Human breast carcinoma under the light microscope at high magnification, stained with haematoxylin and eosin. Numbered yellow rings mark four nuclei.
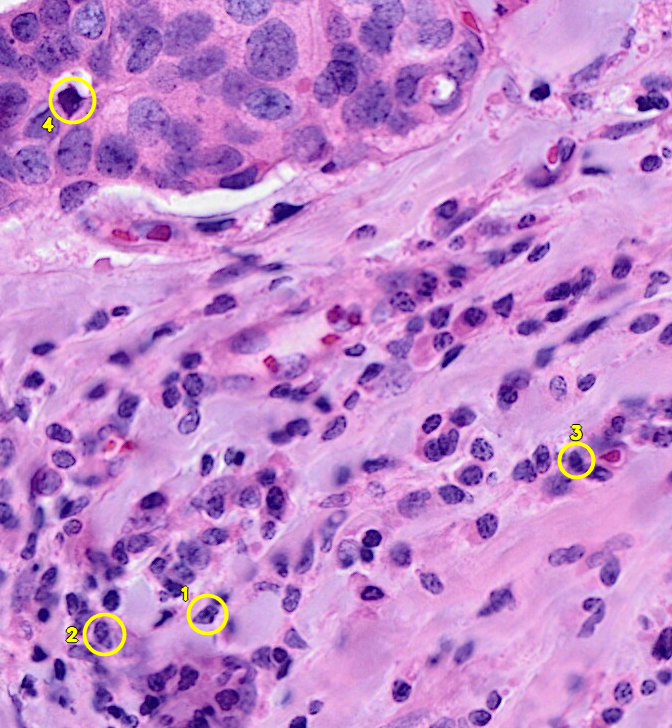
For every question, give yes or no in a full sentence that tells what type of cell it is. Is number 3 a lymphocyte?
Yes, the cell marked by the number 3 is a lymphocyte.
